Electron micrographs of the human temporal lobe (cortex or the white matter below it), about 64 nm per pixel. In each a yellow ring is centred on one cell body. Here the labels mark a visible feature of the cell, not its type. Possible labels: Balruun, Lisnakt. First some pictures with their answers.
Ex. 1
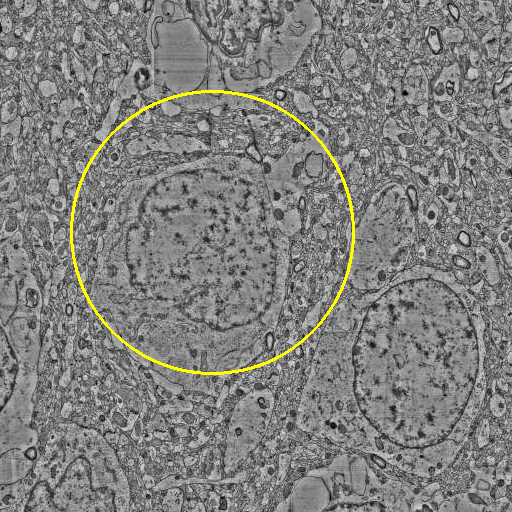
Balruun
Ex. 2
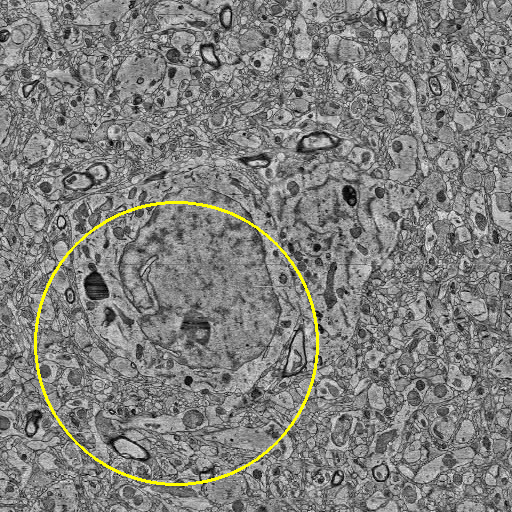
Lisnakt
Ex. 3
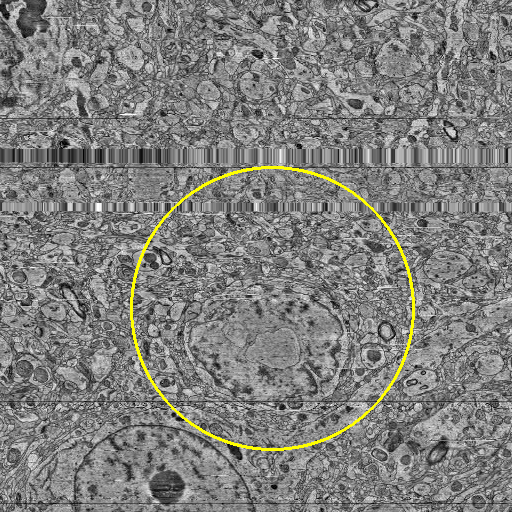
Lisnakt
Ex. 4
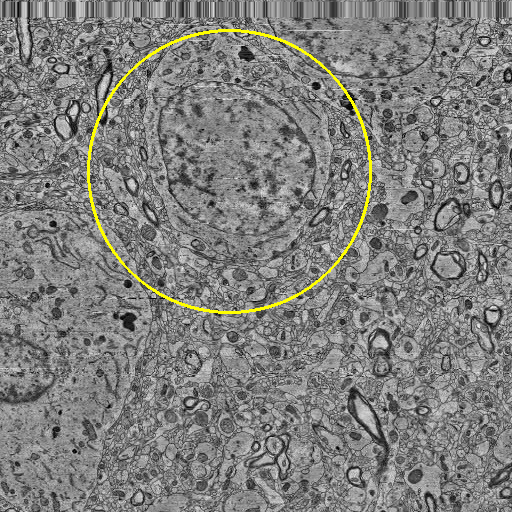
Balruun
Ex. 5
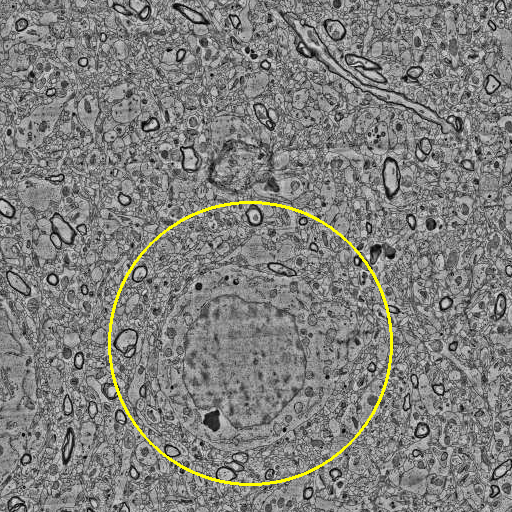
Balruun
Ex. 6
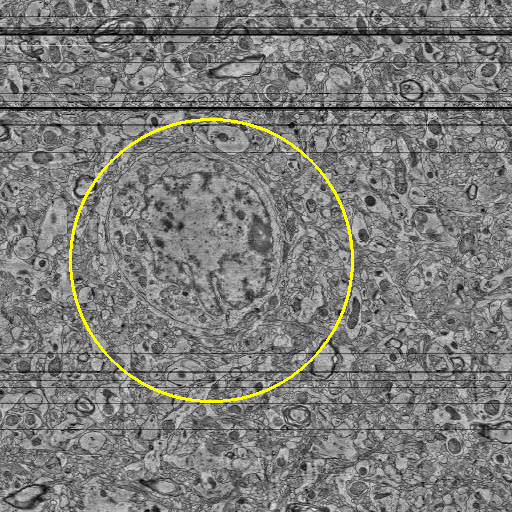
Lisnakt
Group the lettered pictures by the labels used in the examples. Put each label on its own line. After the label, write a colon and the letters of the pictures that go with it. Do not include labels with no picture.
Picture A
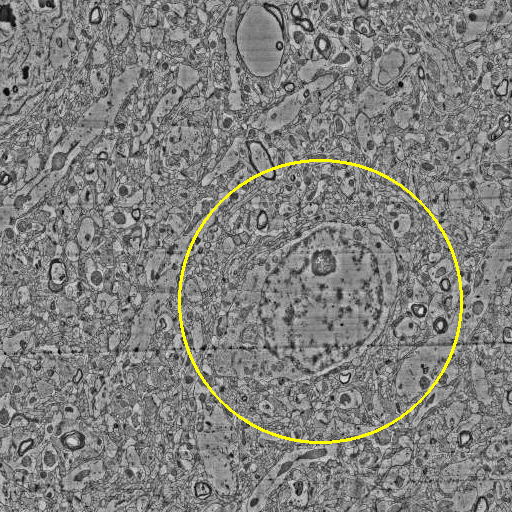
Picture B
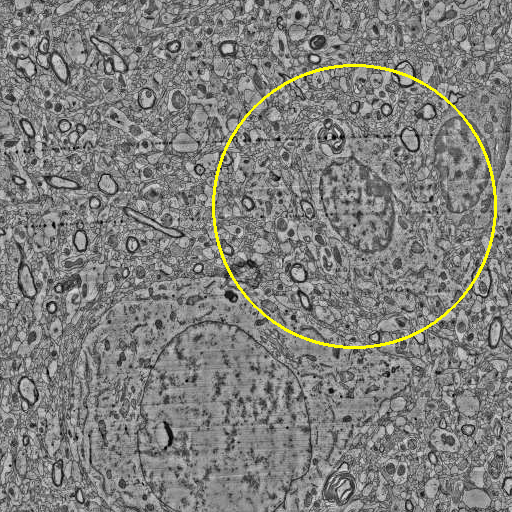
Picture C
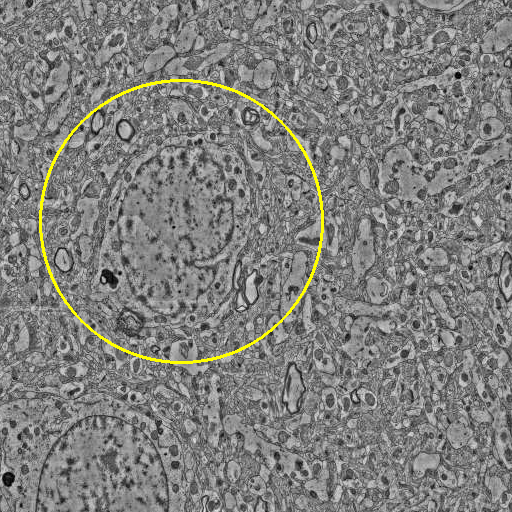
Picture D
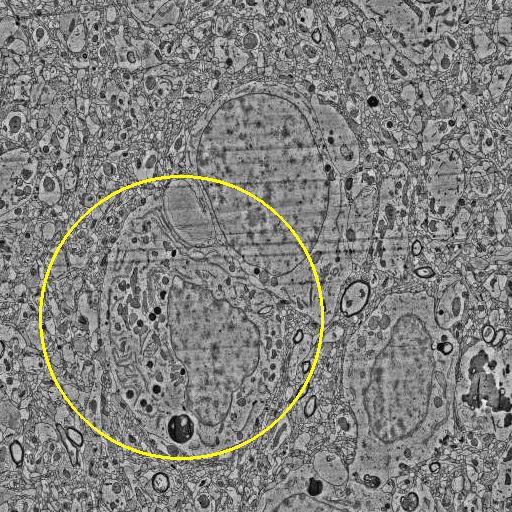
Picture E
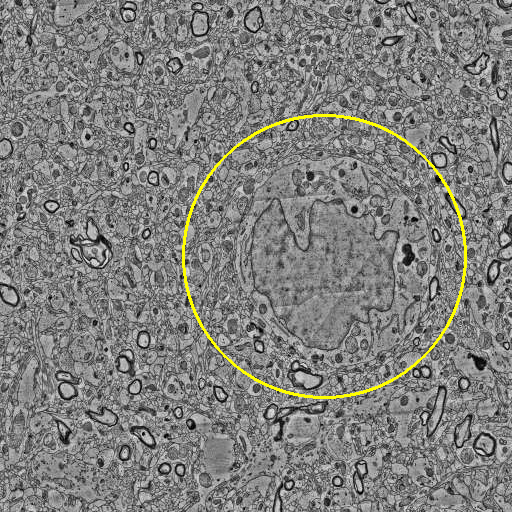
Balruun: A, B
Lisnakt: C, D, E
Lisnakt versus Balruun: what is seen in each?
Seen in Lisnakt: deeply folded or indented nuclear envelopes; seen in Balruun: smooth nuclear envelopes without deep folds.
